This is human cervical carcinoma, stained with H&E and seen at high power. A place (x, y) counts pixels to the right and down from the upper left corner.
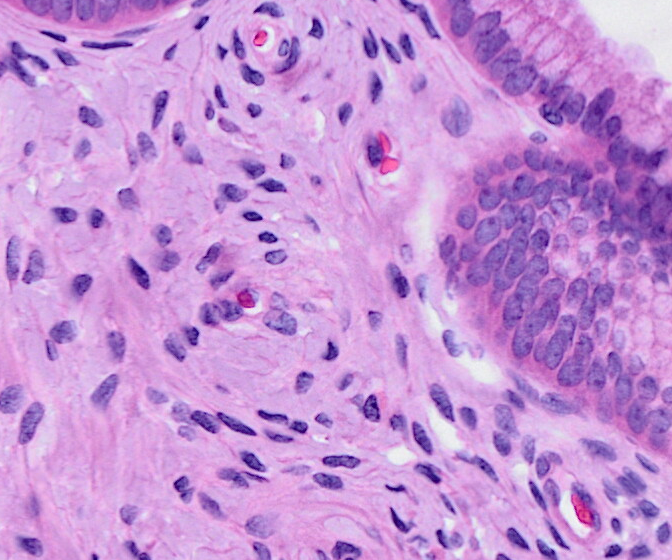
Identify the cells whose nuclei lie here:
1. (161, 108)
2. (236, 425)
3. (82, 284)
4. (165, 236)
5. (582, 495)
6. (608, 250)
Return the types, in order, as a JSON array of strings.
["fibroblast", "fibroblast", "fibroblast", "fibroblast", "endothelial cell", "secretory epithelial cell"]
